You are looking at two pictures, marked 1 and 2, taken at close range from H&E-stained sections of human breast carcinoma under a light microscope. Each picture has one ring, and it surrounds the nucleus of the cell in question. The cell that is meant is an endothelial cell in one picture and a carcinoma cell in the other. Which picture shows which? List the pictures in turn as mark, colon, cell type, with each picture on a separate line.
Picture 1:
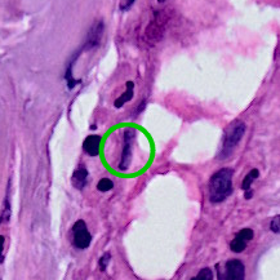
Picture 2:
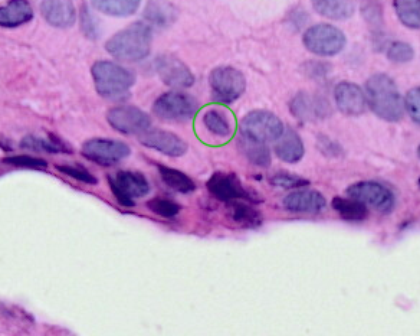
1: endothelial cell
2: carcinoma cell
